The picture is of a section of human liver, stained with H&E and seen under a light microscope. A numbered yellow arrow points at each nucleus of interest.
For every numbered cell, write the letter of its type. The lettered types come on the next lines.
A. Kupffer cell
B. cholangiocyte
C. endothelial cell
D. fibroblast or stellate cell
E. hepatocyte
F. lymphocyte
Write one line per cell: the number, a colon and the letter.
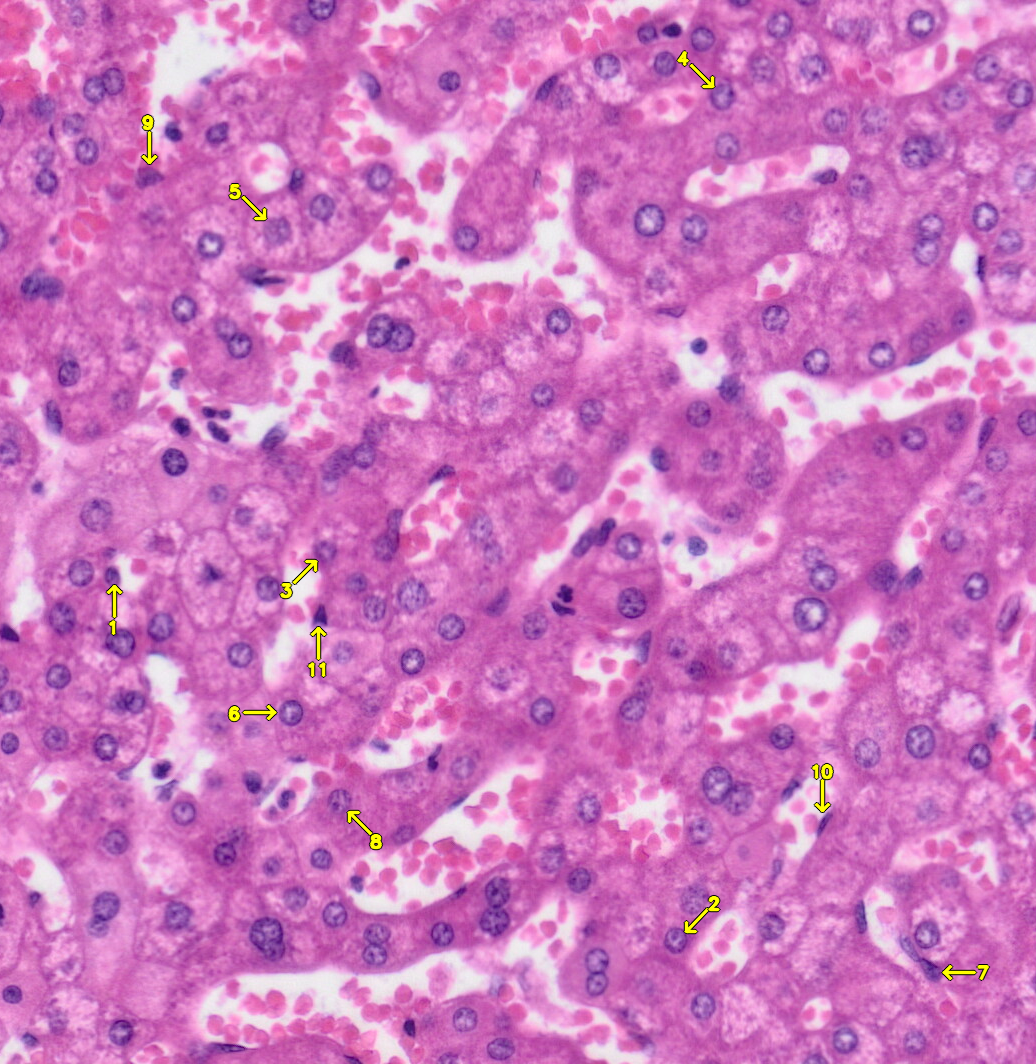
1: A
2: E
3: E
4: E
5: E
6: E
7: D
8: E
9: C
10: C
11: D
